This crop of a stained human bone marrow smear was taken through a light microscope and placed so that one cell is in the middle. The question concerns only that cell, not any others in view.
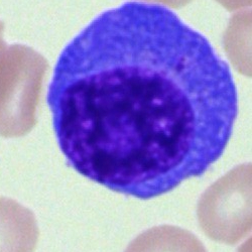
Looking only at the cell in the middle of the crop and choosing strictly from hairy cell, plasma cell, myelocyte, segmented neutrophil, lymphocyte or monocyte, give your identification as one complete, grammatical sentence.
The cell at the middle of the crop is recognized as a plasma cell.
